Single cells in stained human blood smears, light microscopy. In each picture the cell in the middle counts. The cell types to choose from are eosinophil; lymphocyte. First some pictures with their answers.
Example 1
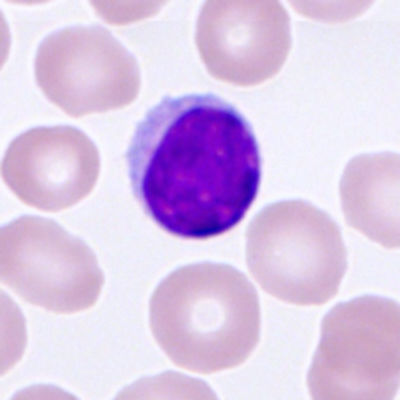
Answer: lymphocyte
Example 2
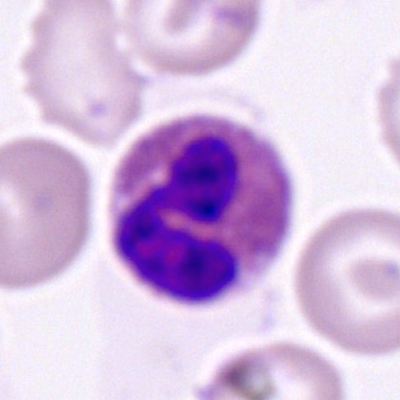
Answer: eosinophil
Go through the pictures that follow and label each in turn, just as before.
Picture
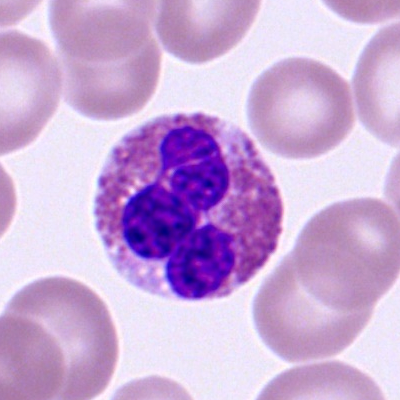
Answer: eosinophil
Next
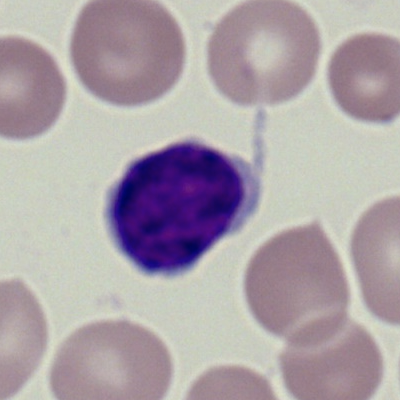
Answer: lymphocyte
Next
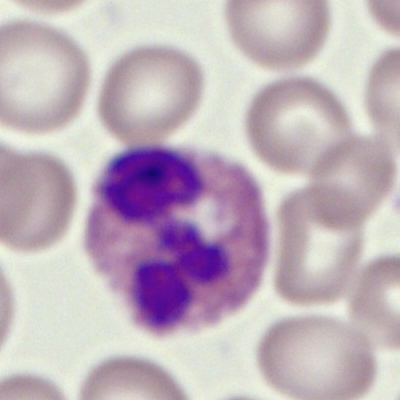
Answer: eosinophil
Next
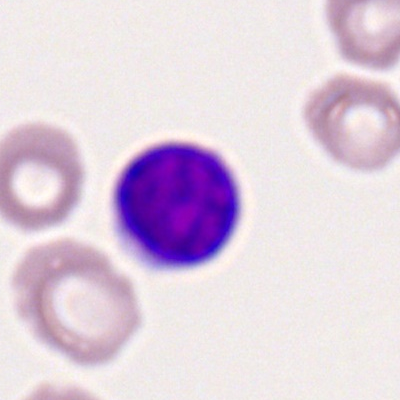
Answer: lymphocyte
